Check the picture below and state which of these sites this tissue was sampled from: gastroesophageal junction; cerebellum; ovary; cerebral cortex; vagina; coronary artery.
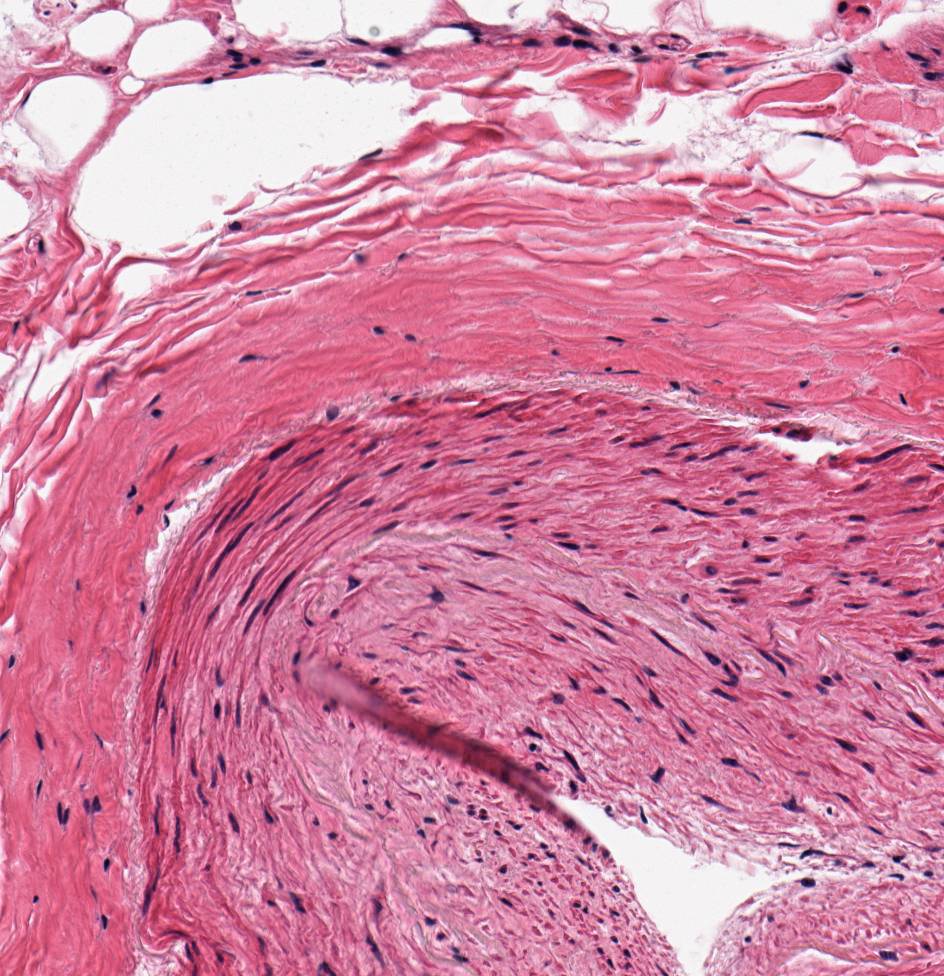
coronary artery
